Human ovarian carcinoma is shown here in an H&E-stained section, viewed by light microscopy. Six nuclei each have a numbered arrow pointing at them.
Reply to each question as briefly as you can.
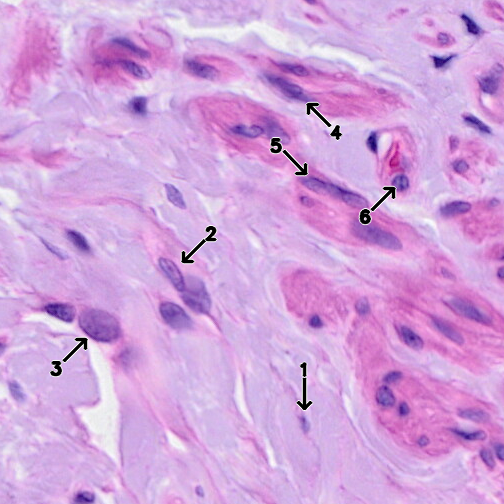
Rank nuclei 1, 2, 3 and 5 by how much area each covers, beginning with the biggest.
3, 2, 5, 1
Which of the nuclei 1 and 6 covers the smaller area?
1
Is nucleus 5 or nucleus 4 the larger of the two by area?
4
